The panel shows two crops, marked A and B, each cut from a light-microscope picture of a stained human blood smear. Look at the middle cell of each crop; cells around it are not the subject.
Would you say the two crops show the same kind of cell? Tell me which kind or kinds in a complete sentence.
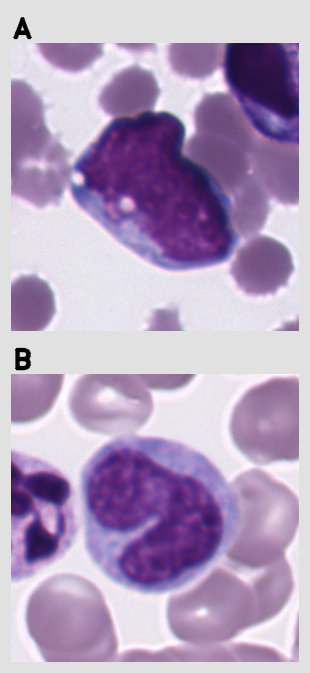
No, in this case crop A shows a myeloblast, and crop B shows a monocyte.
